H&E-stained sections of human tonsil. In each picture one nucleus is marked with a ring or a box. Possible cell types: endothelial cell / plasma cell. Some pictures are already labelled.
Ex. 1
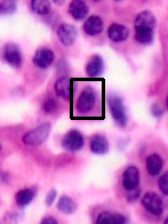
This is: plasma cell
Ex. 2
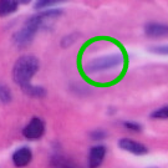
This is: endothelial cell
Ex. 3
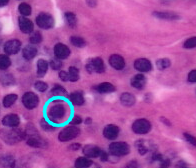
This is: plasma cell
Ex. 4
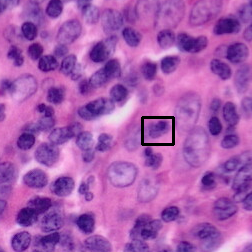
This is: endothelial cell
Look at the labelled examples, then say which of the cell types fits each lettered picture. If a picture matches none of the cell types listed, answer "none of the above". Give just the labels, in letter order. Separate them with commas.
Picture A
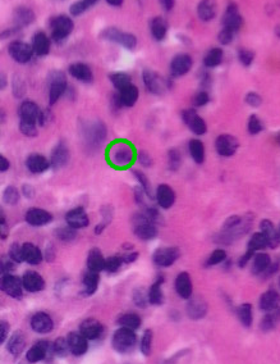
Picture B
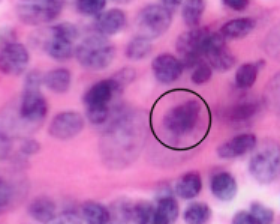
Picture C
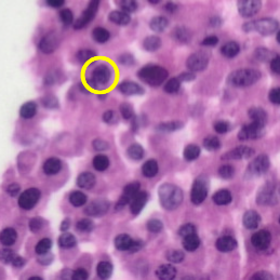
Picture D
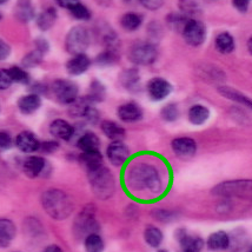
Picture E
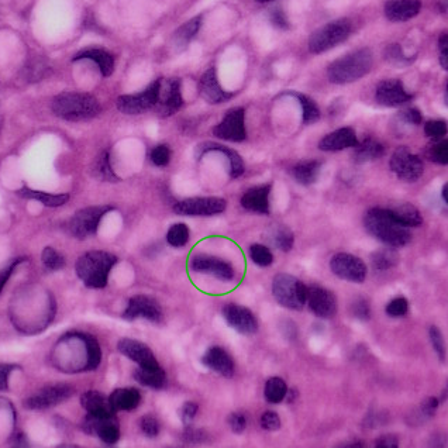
endothelial cell, endothelial cell, plasma cell, endothelial cell, none of the above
